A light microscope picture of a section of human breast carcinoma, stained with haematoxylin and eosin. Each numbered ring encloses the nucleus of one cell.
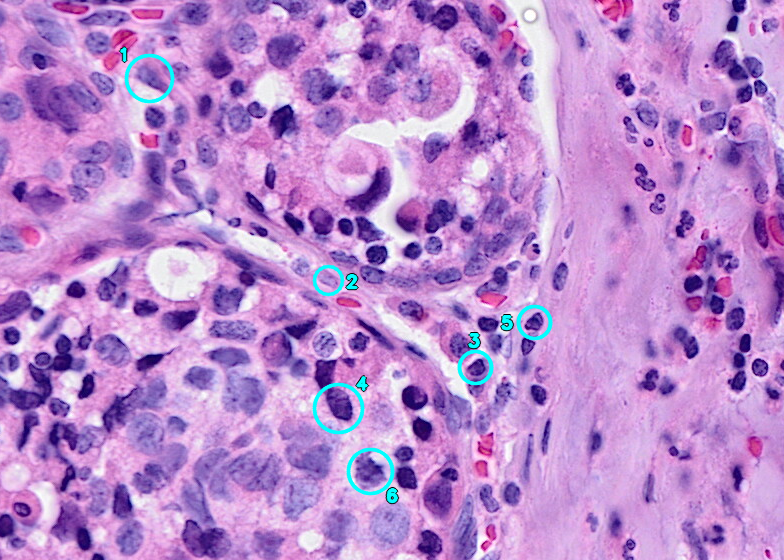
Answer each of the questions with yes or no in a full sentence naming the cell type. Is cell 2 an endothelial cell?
Yes, the cell marked by the number 2 is an endothelial cell.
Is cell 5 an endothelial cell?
No, cell 5 does not represent an endothelial cell; it represents a lymphocyte.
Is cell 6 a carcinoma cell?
Yes, in this tissue section, number 6 is a carcinoma cell.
